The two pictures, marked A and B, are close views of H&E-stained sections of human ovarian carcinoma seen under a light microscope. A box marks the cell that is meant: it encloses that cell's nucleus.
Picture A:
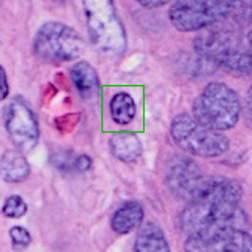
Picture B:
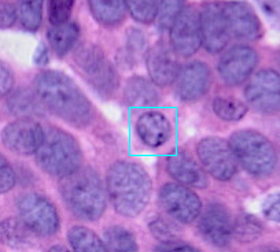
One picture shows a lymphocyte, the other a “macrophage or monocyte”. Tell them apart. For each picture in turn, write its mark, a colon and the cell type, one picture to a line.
A: lymphocyte
B: macrophage or monocyte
